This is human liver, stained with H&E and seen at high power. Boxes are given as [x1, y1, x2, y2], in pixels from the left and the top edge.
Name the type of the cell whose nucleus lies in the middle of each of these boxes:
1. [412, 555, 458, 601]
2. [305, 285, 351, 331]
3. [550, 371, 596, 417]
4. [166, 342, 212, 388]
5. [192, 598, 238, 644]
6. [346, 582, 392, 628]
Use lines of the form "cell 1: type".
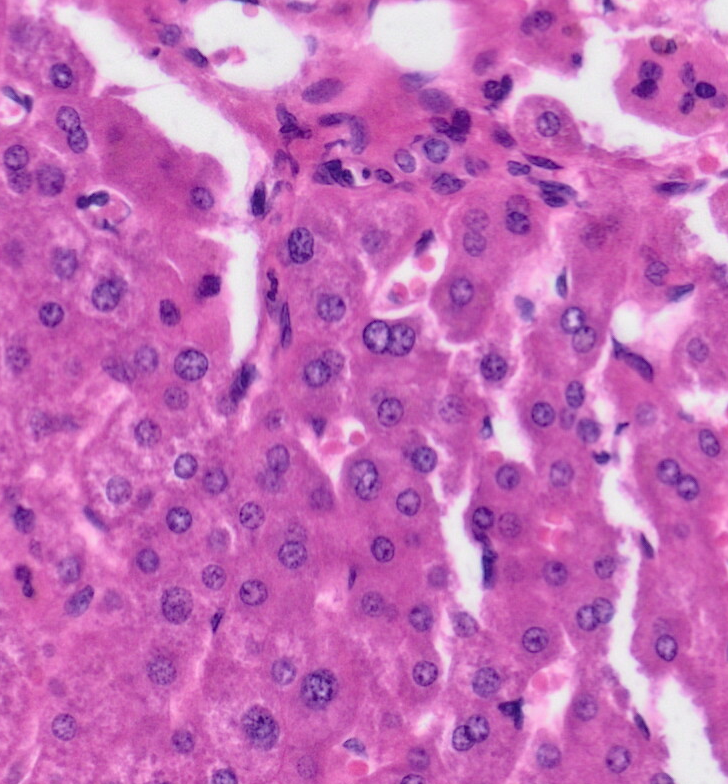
cell 1: hepatocyte
cell 2: hepatocyte
cell 3: cholangiocyte
cell 4: hepatocyte
cell 5: fibroblast or stellate cell
cell 6: hepatocyte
